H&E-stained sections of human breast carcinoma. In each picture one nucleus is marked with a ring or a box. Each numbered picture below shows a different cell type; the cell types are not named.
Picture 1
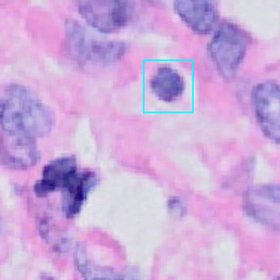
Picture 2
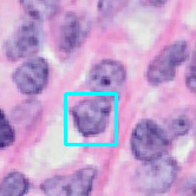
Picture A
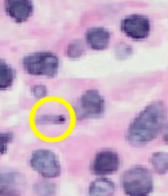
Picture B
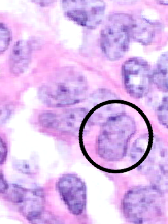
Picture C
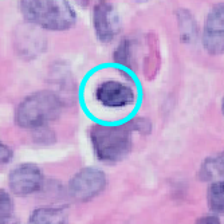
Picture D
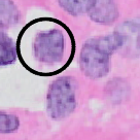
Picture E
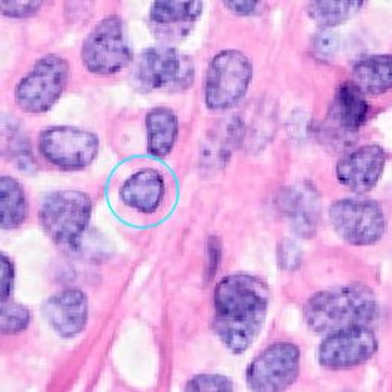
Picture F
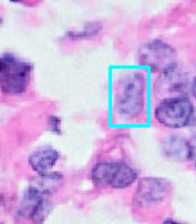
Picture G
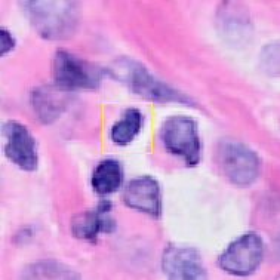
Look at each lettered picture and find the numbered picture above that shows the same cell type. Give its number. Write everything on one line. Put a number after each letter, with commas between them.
A 1, B 2, C 1, D 2, E 2, F 2, G 1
